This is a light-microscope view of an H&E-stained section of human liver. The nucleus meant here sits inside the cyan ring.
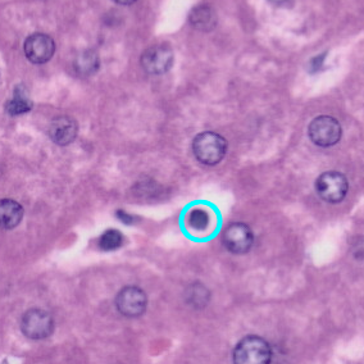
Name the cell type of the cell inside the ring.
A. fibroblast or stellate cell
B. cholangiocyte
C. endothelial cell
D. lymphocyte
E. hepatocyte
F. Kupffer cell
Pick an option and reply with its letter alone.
D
